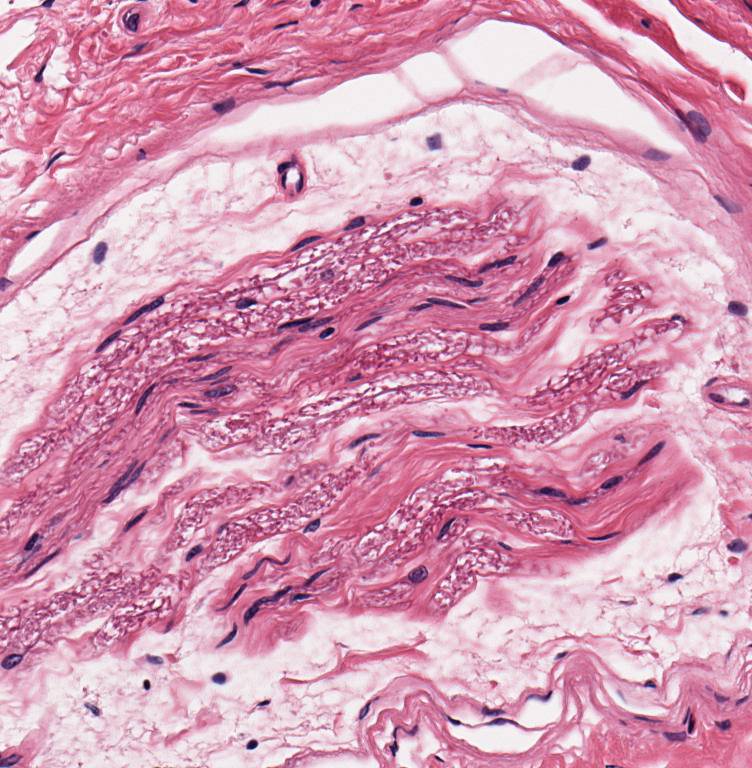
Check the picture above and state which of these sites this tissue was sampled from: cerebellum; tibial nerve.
tibial nerve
